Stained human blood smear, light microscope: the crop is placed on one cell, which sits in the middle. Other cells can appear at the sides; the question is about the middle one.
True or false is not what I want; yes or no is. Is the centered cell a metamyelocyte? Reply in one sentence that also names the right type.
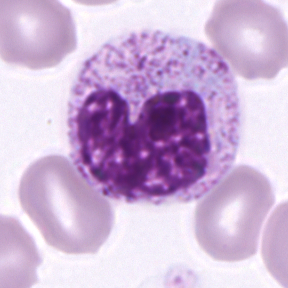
Yes, the cell found in the center of the crop is a metamyelocyte.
